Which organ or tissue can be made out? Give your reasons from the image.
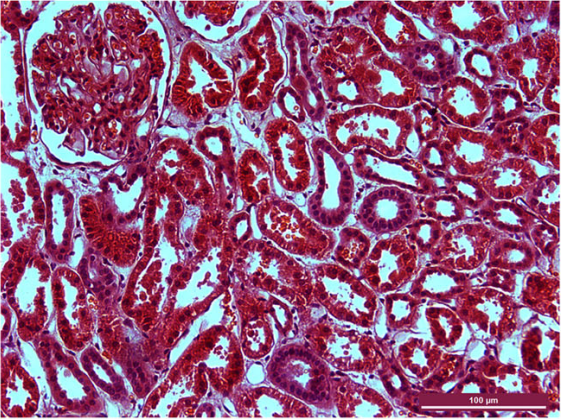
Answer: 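Many tubule cross-sections lined by cuboidal cells with deeply red-staining cytoplasm. Some of these tubules have a narrow, irregular lumen.
Hence: proximal convoluted tubules.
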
